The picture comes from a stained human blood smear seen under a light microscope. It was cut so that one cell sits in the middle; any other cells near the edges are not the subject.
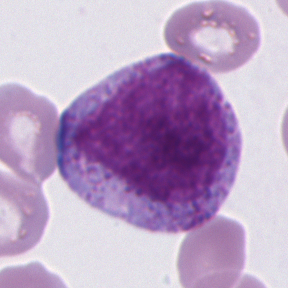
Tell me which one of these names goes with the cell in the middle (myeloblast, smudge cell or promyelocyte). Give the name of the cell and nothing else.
promyelocyte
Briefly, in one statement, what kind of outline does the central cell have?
Thanks for asking; the cell edge is smooth and has no projections.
